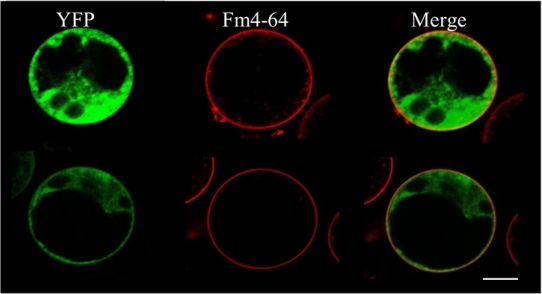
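Two round plant protoplasts, each shown in a green channel, a red channel and a merge. Each cell is a smooth sphere whose interior is largely taken up by dark, empty-looking vacuolar spaces. Green fluorescence lines the cell periphery as a thin rim and fills a band of cytoplasm and transvacuolar strands; in the upper cell the green cytoplasm is more extensive and encloses several small round dark bodies. The red channel shows a fine, continuous ring at the outer boundary of each cell, with curved red arcs from neighbouring cells at the edges. In the merge, the red ring coincides with the outer green rim.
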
